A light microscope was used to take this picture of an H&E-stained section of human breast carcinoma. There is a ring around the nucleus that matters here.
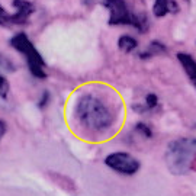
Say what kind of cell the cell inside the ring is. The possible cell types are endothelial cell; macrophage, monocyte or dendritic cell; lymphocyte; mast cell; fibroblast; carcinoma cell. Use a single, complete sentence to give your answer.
At the level of cell identity, the cell inside the ring is a mast cell.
